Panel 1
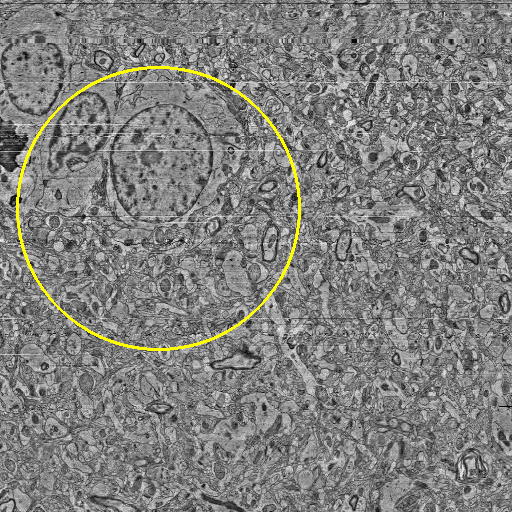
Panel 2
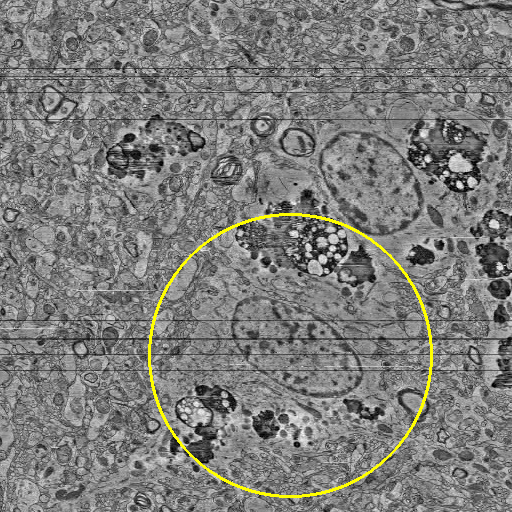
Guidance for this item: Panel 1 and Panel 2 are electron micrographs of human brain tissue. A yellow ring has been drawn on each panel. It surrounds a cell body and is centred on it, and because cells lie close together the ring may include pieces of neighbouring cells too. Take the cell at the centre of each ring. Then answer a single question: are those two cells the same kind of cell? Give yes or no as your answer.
yes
